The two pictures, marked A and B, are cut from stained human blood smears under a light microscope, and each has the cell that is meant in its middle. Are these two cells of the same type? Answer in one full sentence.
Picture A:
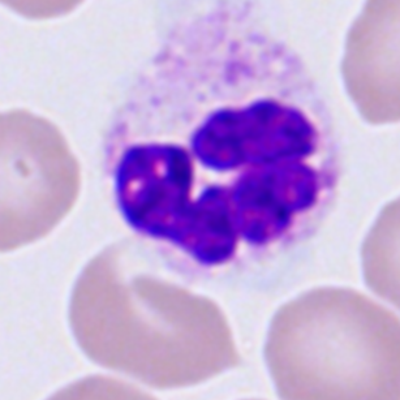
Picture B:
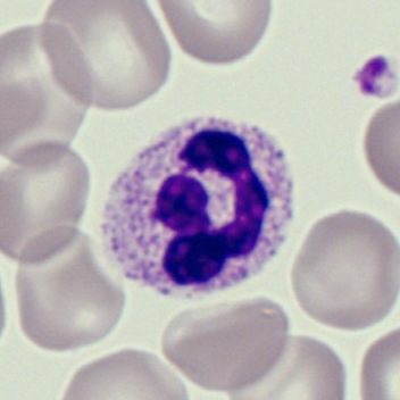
Yes, both cells are segmented neutrophils.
